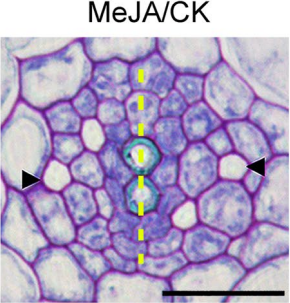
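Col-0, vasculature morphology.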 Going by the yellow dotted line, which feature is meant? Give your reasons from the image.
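Two adjacent cells with thick blue-green walls lie on the vertical dotted line in the centre.
Hence: xylem axis.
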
